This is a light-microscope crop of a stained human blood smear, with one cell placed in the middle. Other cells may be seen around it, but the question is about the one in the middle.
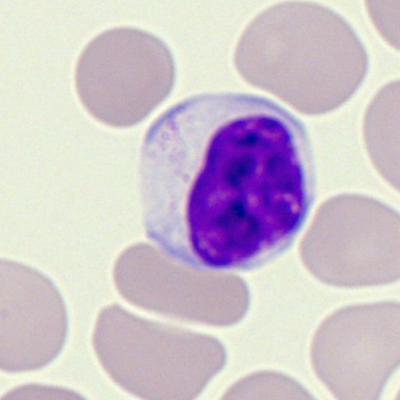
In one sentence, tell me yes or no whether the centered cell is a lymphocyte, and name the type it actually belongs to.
Yes, the cell in the middle is recognised as a lymphocyte.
